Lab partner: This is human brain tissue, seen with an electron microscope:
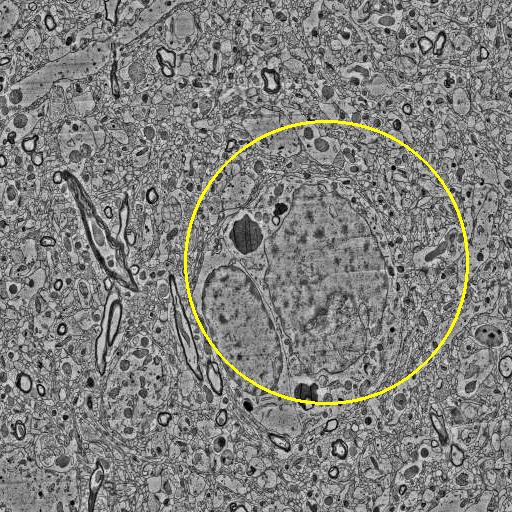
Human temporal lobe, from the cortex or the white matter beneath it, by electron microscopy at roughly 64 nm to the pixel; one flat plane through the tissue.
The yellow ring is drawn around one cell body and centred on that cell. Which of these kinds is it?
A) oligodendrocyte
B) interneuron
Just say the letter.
B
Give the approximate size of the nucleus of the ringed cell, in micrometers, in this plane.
In this plane, roughly 12 by 8 micrometres.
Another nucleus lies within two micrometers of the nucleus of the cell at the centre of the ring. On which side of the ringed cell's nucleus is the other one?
That second nucleus is to the left of it.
